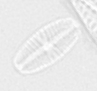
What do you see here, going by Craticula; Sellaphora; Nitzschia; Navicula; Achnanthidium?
I see Sellaphora.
